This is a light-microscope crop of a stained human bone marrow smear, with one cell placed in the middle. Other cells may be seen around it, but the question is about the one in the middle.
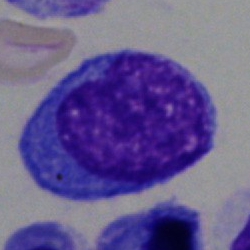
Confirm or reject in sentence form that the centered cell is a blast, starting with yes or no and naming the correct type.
Yes, the cell that the crop is centered on is a blast.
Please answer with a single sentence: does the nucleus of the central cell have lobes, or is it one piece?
Key feature: a single compact nucleus, round, oval or kidney-shaped.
